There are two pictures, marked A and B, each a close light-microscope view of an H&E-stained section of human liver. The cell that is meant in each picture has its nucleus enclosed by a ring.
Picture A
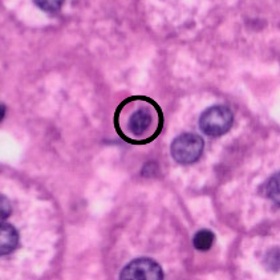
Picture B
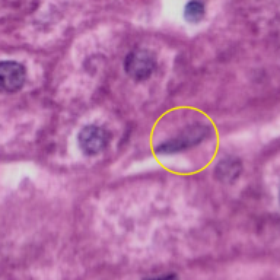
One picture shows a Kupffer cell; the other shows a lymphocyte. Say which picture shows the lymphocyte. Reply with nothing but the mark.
A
